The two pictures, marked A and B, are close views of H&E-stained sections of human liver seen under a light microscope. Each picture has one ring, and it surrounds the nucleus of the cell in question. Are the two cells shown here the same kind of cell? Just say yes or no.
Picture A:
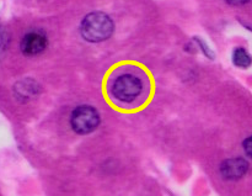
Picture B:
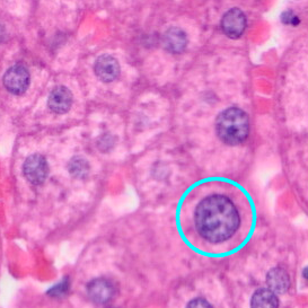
yes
